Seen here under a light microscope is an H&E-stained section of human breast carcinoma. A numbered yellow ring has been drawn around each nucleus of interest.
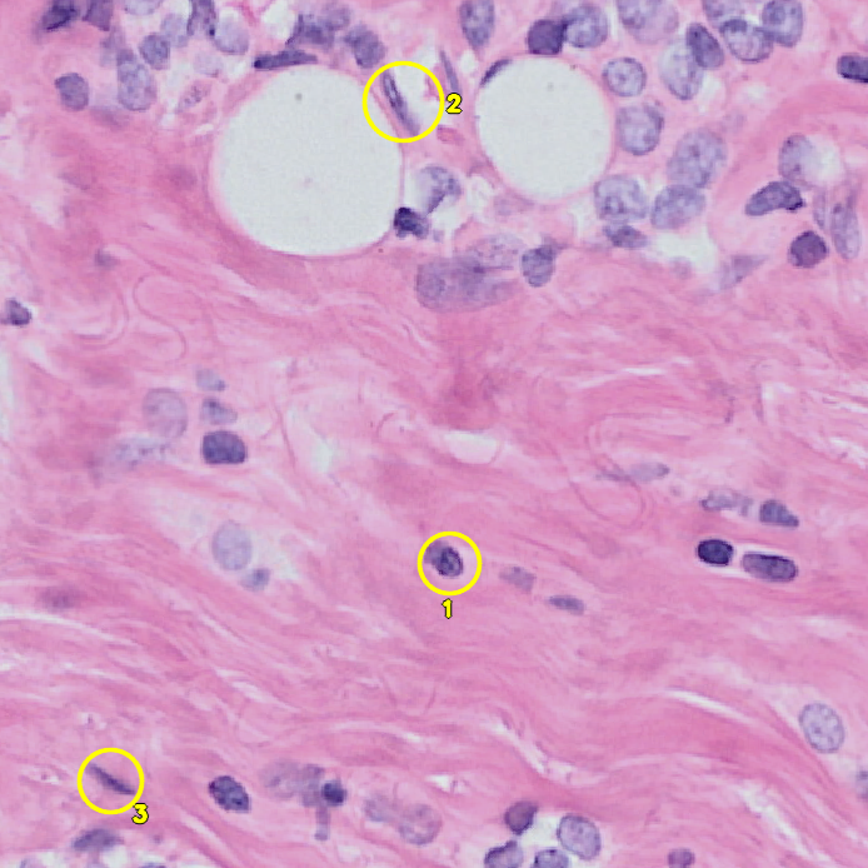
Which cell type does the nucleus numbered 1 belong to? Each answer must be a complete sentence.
Recognised here as a lymphocyte is the cell numbered 1.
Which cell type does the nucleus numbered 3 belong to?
As for number 3, that cell is a fibroblast.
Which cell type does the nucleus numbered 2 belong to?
The correct label for cell 2 is an endothelial cell.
